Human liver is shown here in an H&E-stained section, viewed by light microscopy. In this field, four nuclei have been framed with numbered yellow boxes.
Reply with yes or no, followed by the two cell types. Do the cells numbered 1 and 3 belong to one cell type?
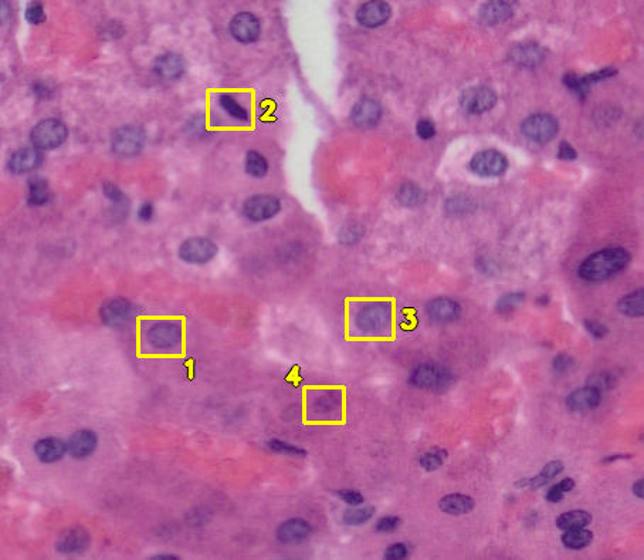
Yes, in this section cells 1 and 3 are both hepatocytes.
